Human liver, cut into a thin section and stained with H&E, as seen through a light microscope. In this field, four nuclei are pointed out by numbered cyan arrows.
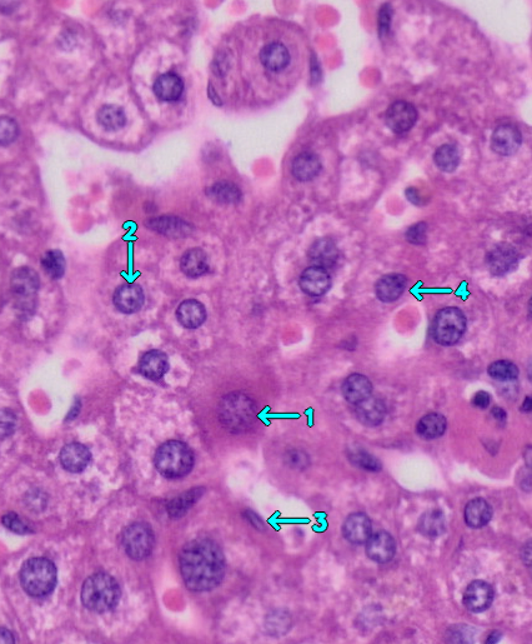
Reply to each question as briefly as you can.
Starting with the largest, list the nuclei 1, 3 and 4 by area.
1, 4, 3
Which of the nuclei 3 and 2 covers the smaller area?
3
